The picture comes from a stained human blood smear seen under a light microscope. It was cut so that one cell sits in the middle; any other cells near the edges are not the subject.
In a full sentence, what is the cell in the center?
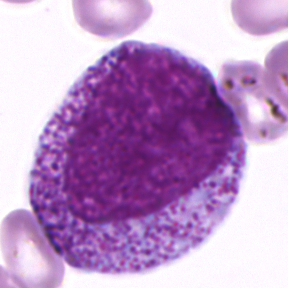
The cell nearest the centre of this crop is a promyelocyte.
